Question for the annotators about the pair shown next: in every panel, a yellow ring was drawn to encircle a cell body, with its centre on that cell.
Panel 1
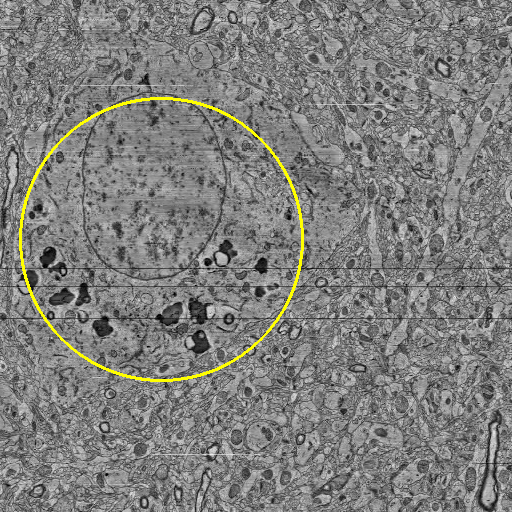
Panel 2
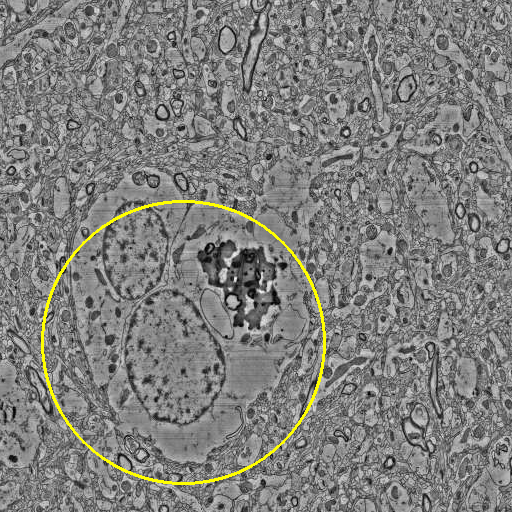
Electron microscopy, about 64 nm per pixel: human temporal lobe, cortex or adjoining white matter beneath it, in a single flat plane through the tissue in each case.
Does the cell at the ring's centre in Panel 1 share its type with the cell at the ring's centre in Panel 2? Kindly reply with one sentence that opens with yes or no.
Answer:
No, in Panels 1 and 2 the cells at the ring centres belong to separate types.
